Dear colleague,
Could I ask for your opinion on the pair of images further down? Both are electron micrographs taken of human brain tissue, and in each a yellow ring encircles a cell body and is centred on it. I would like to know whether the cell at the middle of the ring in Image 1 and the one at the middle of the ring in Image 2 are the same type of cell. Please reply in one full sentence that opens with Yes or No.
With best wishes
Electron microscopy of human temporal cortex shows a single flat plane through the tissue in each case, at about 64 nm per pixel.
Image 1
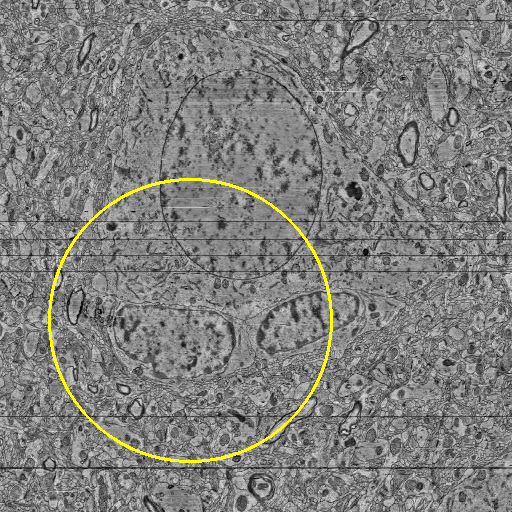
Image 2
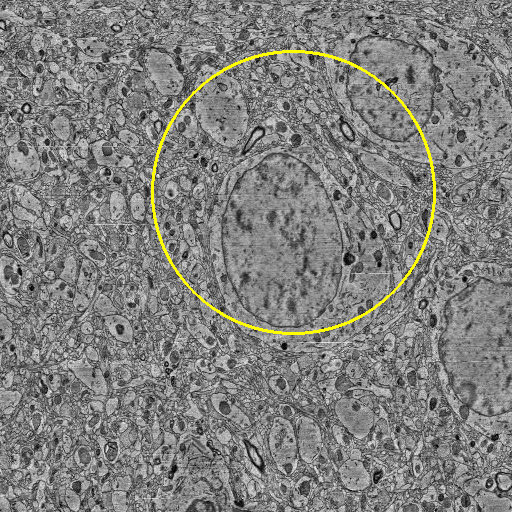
No, the cells at the ring centres in Image 1 and Image 2 are of two types.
